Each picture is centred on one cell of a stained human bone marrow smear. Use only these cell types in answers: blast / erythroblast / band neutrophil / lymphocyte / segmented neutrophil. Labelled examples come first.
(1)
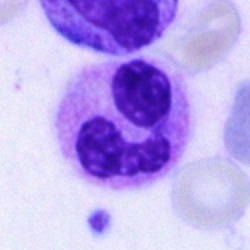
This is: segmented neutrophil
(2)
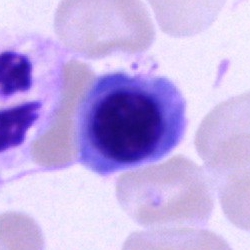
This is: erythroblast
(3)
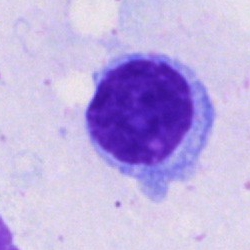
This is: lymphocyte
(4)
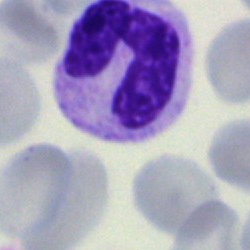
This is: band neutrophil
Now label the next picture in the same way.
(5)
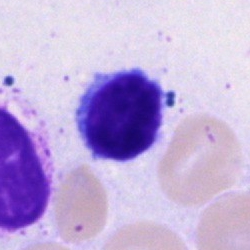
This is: lymphocyte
